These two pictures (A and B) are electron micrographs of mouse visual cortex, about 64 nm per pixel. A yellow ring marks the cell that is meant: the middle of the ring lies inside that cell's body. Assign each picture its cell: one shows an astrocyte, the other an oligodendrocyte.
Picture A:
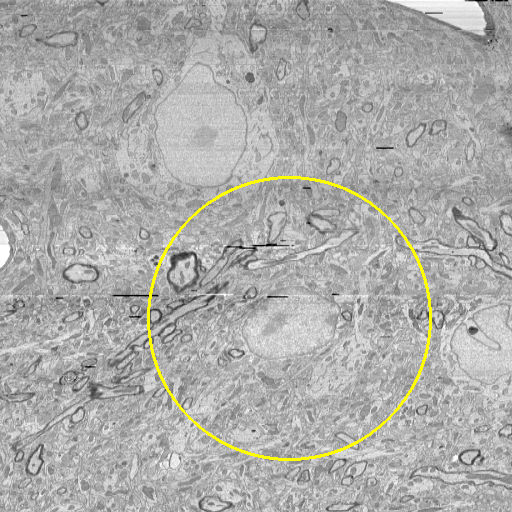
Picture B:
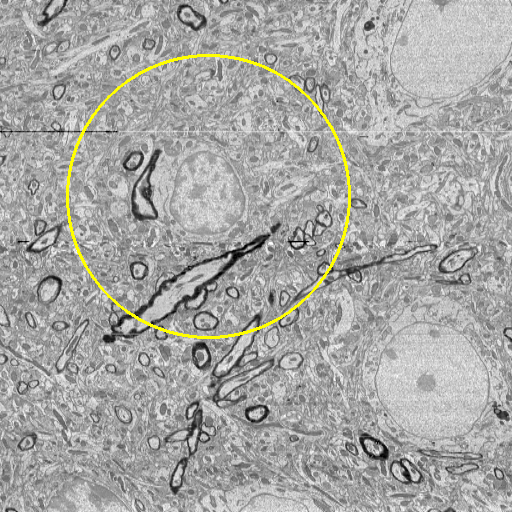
In picture A the cell is an astrocyte; in picture B, an oligodendrocyte.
